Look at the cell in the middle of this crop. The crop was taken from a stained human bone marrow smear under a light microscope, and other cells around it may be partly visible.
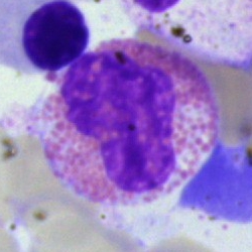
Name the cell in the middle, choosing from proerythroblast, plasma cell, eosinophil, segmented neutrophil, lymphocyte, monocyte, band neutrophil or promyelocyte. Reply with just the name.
eosinophil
